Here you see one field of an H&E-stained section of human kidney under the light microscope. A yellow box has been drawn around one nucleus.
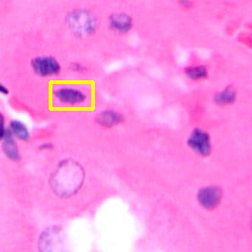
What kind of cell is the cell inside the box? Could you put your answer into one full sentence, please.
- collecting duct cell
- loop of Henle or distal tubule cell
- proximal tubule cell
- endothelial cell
In short, the cell inside the box on this section is a loop of Henle or distal tubule cell.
